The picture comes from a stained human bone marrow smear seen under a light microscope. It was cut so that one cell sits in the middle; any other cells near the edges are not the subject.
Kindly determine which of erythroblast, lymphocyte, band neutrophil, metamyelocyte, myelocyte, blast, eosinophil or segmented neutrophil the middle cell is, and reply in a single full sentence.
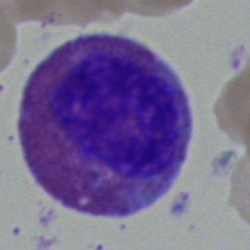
The cell centred in this crop is categorized as an eosinophil.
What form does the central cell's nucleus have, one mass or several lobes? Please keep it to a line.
What stands out is a nucleus forming one compact round, oval or kidney-shaped mass.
